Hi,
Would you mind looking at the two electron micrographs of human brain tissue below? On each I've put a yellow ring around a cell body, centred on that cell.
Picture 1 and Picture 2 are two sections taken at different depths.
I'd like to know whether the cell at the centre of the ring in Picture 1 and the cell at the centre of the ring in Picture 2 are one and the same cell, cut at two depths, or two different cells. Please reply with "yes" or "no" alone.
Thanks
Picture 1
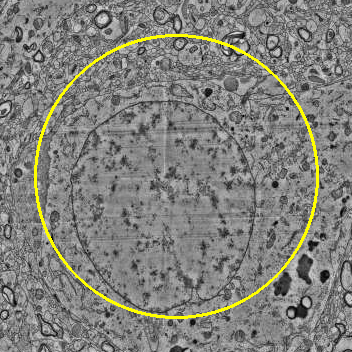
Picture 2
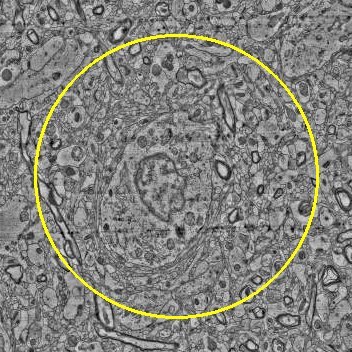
no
